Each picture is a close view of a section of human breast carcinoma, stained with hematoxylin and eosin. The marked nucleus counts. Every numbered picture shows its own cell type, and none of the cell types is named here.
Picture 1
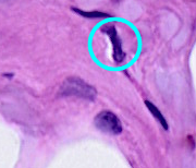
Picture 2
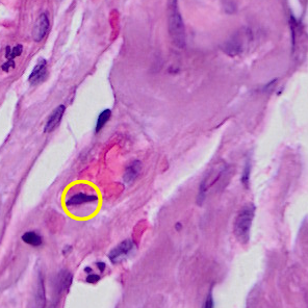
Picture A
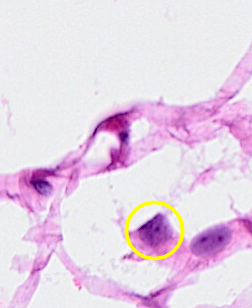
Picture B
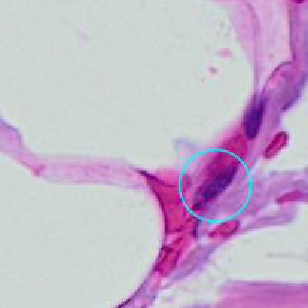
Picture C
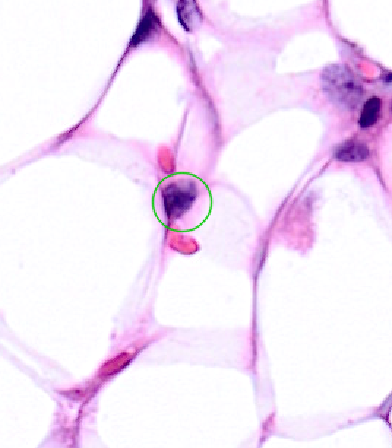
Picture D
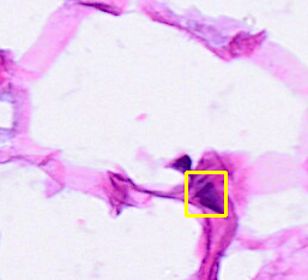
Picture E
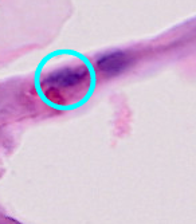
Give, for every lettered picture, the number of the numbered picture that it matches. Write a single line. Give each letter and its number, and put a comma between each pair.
A 2, B 2, C 2, D 2, E 2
